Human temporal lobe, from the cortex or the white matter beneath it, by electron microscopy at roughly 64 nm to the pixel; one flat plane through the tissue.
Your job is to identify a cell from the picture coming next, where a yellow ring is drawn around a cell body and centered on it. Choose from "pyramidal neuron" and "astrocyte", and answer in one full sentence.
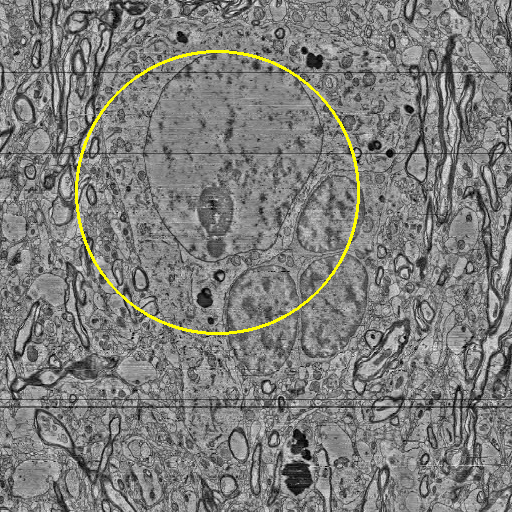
Centered in the yellow ring of the picture is the body of a pyramidal neuron.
